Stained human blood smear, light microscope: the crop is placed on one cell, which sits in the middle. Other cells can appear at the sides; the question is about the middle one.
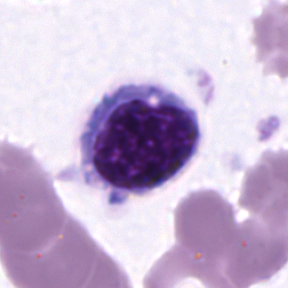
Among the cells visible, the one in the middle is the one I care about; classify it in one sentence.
The middle of this crop holds a plasma cell.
